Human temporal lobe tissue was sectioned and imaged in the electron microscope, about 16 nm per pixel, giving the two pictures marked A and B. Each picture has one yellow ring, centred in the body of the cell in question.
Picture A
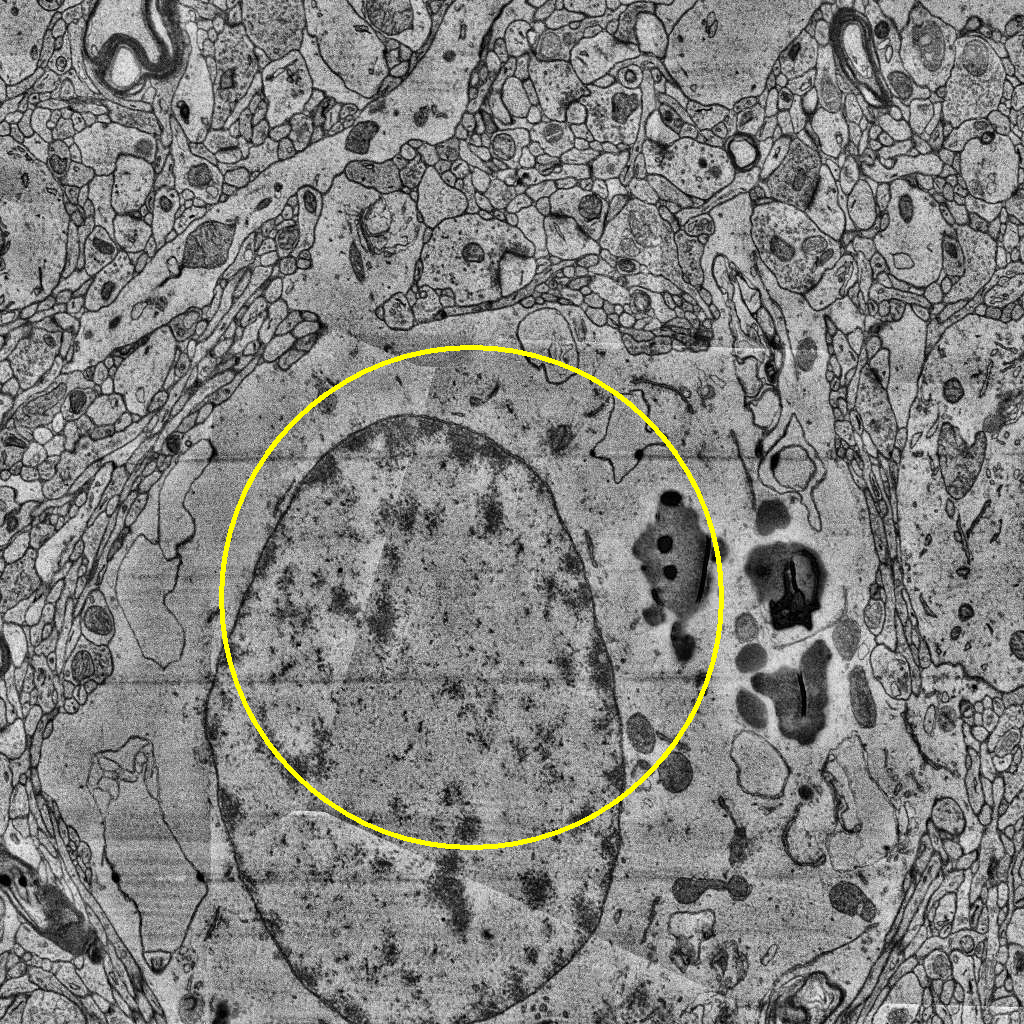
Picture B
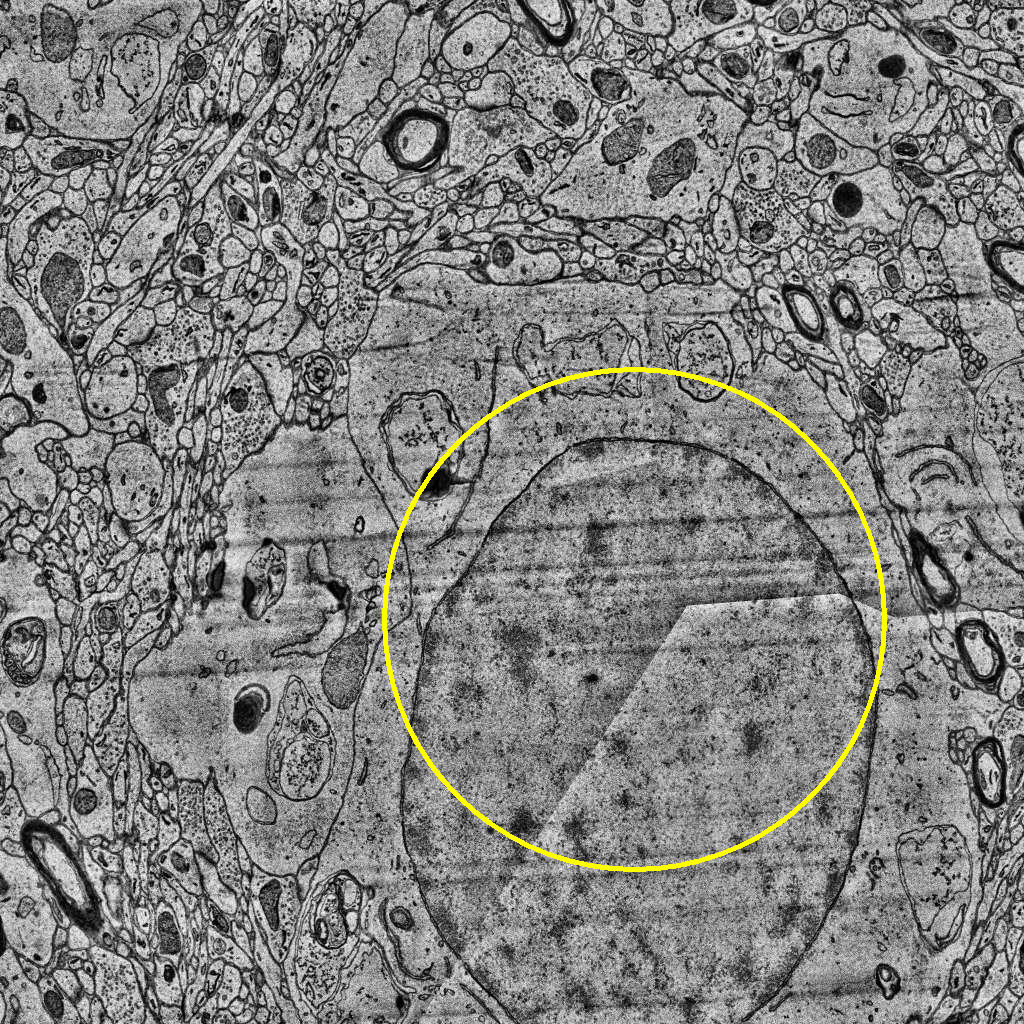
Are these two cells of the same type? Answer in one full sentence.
Yes; the cells in both pictures are astrocytes.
